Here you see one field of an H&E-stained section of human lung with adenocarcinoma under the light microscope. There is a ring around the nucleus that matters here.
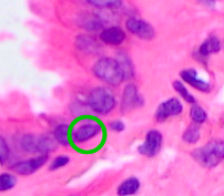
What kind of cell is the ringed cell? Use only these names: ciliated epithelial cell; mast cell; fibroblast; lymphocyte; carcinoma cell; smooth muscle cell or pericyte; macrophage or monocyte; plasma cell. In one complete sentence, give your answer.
With respect to cell type, the ringed cell is a ciliated epithelial cell.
